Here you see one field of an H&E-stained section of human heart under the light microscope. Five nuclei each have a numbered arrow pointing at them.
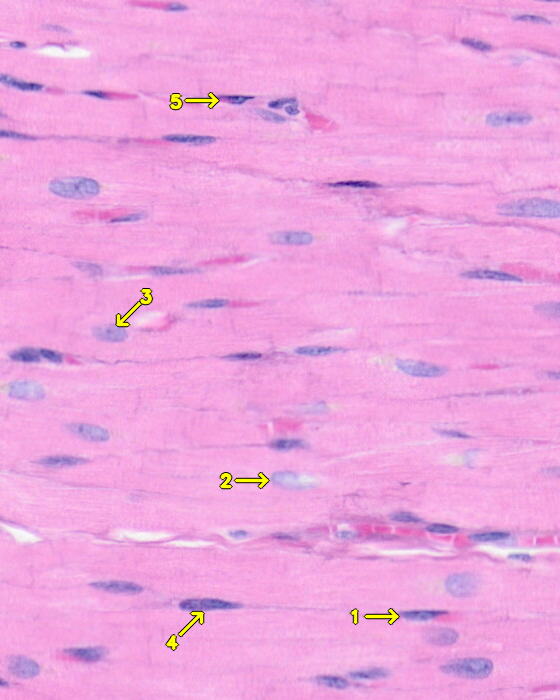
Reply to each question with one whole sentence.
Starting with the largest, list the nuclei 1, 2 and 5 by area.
By area, largest first, they run 2, 1, 5.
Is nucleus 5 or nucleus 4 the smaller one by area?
The smaller nucleus is 5, and 4 covers roughly 2.5 times its area.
